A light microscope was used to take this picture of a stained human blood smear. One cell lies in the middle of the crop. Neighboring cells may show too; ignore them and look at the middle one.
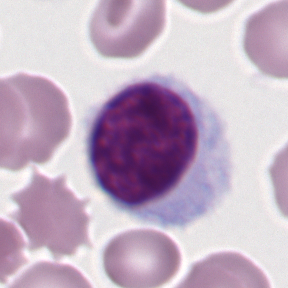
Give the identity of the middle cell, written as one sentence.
The crop's centre is taken up by a hairy cell.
